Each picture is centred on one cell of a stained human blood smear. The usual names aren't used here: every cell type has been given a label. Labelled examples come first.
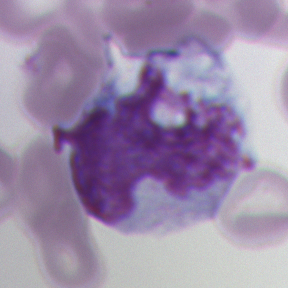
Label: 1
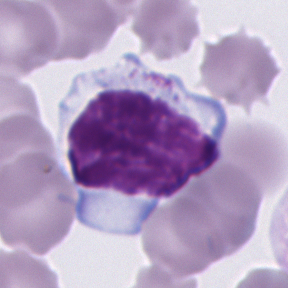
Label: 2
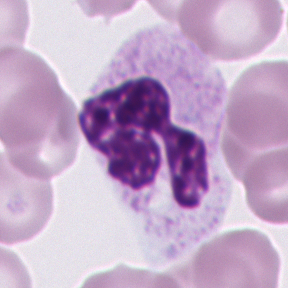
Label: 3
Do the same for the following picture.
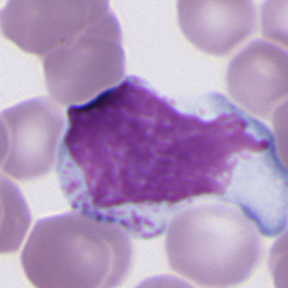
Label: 2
